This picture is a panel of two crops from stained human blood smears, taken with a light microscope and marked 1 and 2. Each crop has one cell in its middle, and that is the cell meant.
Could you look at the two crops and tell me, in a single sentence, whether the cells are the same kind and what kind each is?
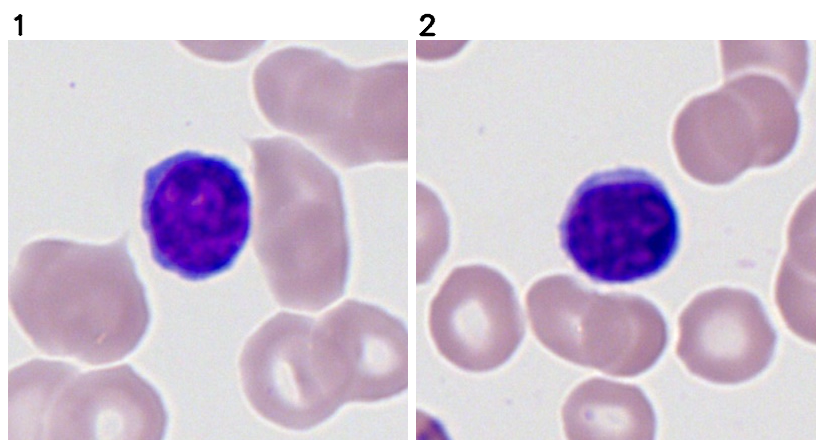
Yes, the central cells in both of the crops are lymphocytes.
